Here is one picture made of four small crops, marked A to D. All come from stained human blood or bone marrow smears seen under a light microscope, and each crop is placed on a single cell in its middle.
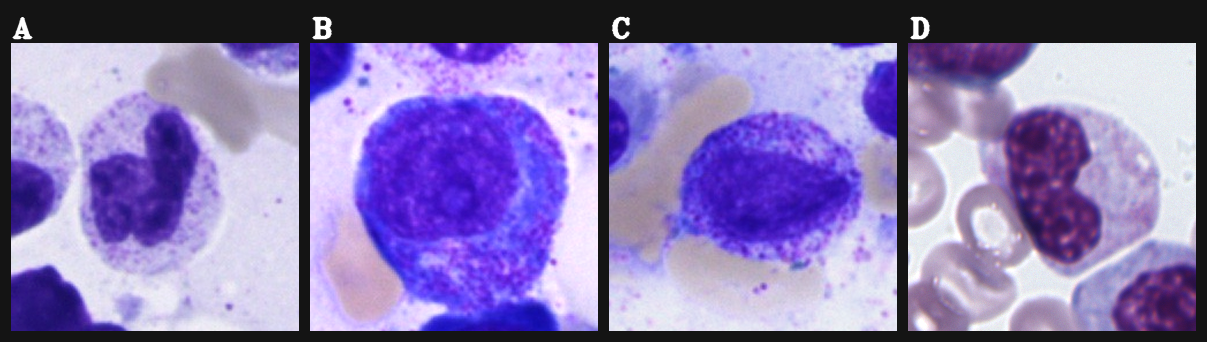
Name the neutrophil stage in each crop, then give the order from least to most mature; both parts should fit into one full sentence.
Ranked in ascending maturity, the crops are crop B (a promyelocyte), crop C (a myelocyte), crop D (a band neutrophil) and crop A (a segmented neutrophil).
